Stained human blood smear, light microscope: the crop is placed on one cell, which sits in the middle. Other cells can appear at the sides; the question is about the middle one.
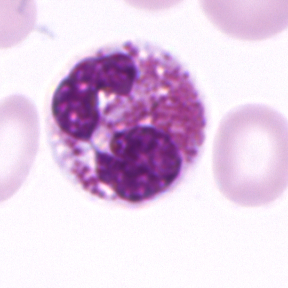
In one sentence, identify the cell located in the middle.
In the centre of this crop there is an eosinophil.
